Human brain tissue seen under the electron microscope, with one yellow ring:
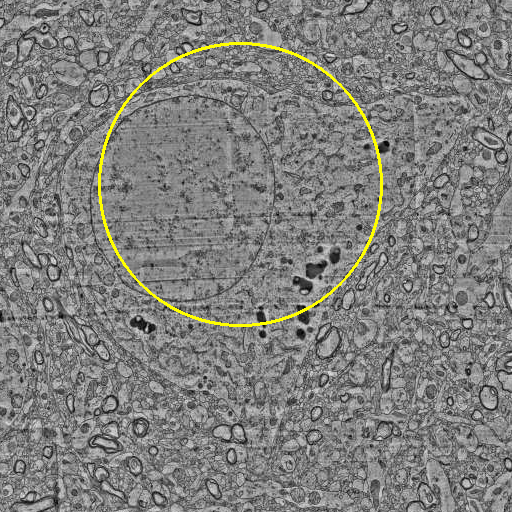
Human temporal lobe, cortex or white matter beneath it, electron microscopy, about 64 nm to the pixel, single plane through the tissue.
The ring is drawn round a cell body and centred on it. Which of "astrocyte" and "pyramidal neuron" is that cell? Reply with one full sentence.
The picture shows a pyramidal neuron at the very centre of the yellow ring.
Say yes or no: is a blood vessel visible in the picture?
No, there is no blood vessel in the image.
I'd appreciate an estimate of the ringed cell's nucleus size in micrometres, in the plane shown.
Roughly 13 micrometres across, measured in this plane.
